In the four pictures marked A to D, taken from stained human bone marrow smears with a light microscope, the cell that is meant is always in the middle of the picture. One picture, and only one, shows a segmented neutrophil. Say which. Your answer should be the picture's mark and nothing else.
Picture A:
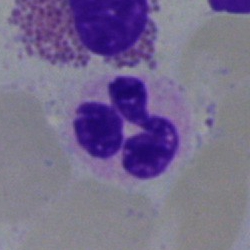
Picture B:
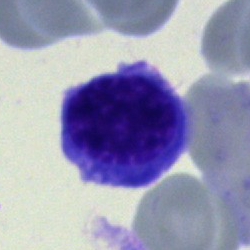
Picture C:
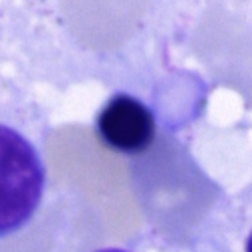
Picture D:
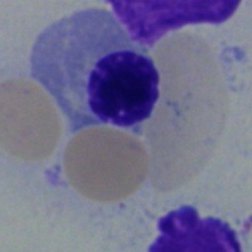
A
